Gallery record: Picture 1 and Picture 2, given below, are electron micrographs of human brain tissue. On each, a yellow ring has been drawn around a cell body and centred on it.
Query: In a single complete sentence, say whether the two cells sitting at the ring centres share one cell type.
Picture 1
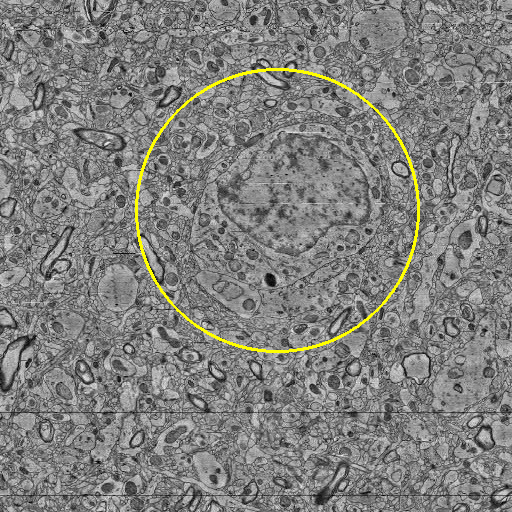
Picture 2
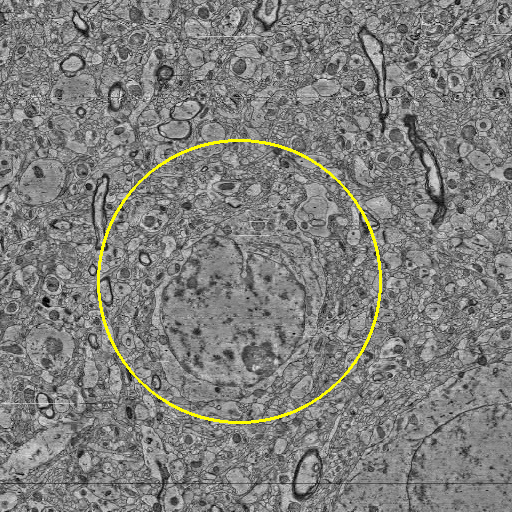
Yes, in both pictures the cell at the ring's centre is of one and the same type.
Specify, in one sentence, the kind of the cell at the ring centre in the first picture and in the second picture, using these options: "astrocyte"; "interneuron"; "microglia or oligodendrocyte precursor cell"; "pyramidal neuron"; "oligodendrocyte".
In each of the two pictures, the ringed cell is an interneuron.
